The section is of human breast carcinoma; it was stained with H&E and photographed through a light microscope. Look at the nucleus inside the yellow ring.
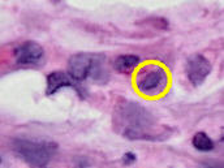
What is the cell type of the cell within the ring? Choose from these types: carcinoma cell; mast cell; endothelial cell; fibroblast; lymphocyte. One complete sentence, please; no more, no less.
To be brief about it, the cell within the ring is an endothelial cell.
